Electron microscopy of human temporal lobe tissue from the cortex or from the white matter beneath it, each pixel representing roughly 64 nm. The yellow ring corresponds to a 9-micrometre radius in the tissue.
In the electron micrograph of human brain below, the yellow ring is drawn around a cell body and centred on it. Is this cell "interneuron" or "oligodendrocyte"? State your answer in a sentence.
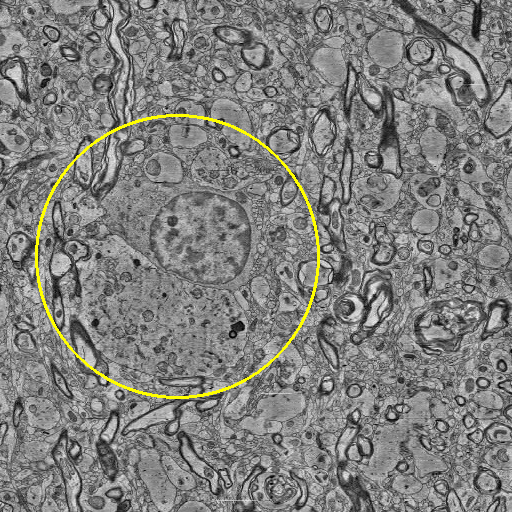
The cell in the middle of the ring is an oligodendrocyte.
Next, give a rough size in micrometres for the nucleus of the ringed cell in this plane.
The nucleus comes to roughly 6 micrometres across in this plane.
